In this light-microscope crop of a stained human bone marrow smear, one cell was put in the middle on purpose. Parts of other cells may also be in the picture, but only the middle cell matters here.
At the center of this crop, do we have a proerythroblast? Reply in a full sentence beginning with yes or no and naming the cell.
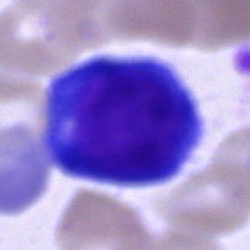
Yes, the cell located at the center is a proerythroblast.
